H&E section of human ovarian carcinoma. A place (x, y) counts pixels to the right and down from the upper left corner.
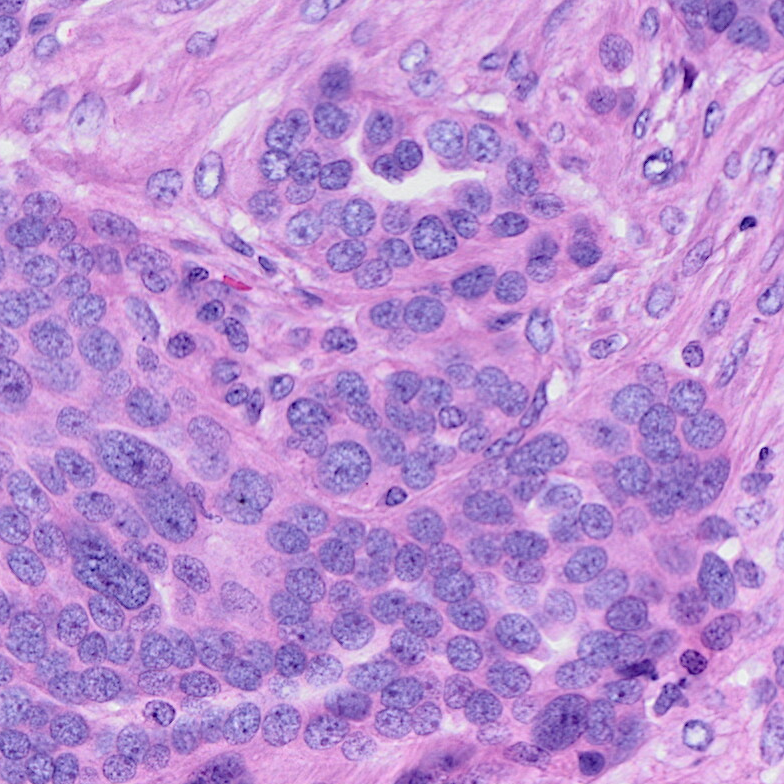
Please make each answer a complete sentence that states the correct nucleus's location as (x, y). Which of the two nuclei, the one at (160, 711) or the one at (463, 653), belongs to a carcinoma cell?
The nucleus at (463, 653), rather than the other one, belongs to a carcinoma cell.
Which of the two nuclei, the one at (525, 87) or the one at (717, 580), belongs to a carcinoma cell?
In this pair, the nucleus at (717, 580) belongs to a carcinoma cell.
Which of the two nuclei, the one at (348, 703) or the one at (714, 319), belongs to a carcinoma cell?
Lying within a carcinoma cell is the nucleus at (348, 703).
